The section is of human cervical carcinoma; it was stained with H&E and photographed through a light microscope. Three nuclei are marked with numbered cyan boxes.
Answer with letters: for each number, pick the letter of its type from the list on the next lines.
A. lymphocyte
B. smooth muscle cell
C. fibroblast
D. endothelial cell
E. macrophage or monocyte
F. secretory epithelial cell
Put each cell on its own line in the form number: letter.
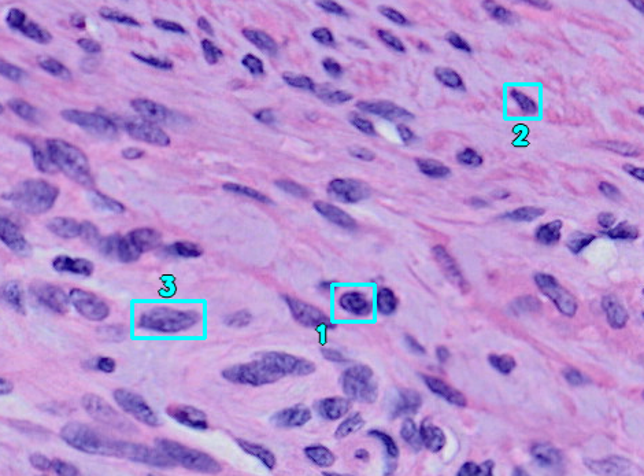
1: A
2: B
3: C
